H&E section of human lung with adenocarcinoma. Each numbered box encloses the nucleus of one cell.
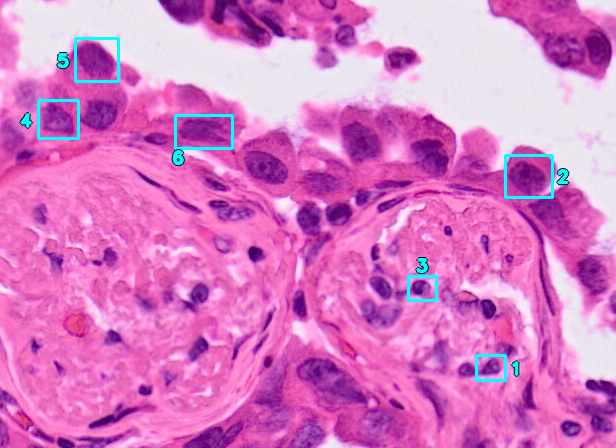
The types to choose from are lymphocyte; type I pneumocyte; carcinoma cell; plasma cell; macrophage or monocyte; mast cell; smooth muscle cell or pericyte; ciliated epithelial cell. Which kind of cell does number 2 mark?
carcinoma cell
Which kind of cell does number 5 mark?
carcinoma cell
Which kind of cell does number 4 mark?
carcinoma cell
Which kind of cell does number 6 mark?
carcinoma cell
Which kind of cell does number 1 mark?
lymphocyte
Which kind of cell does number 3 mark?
lymphocyte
